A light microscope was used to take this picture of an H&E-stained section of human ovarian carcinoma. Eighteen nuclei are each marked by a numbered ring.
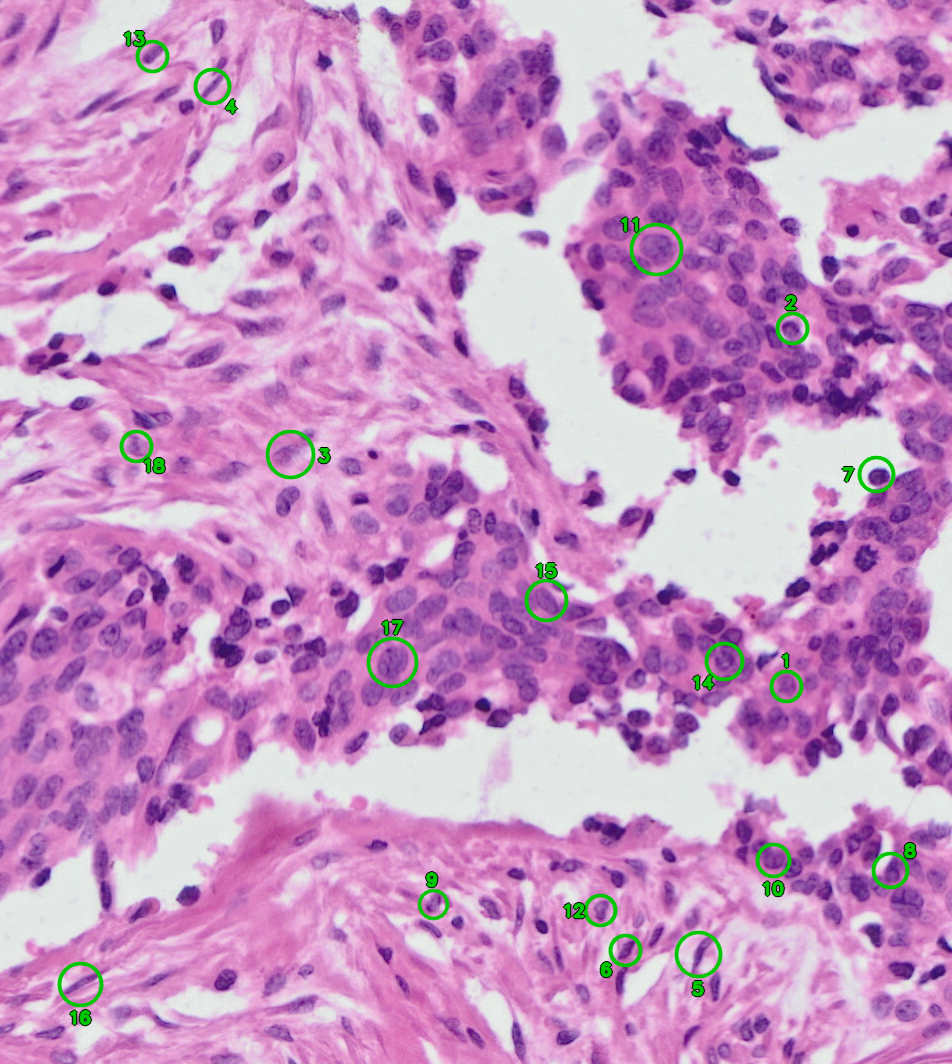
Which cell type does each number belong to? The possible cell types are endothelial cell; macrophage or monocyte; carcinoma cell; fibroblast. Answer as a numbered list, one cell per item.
1. carcinoma cell
2. carcinoma cell
3. fibroblast
4. fibroblast
5. fibroblast
6. fibroblast
7. carcinoma cell
8. carcinoma cell
9. fibroblast
10. carcinoma cell
11. carcinoma cell
12. fibroblast
13. fibroblast
14. carcinoma cell
15. carcinoma cell
16. fibroblast
17. carcinoma cell
18. fibroblast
